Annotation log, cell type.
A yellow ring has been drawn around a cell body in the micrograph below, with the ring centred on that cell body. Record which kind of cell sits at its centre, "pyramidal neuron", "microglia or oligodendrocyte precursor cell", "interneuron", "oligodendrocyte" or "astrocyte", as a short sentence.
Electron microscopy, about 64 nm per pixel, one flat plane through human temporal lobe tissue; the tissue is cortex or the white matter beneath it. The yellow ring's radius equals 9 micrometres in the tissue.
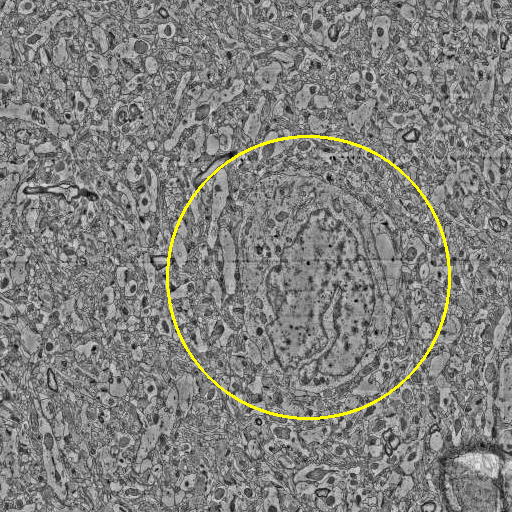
The cell at the centre of this ring is an interneuron.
